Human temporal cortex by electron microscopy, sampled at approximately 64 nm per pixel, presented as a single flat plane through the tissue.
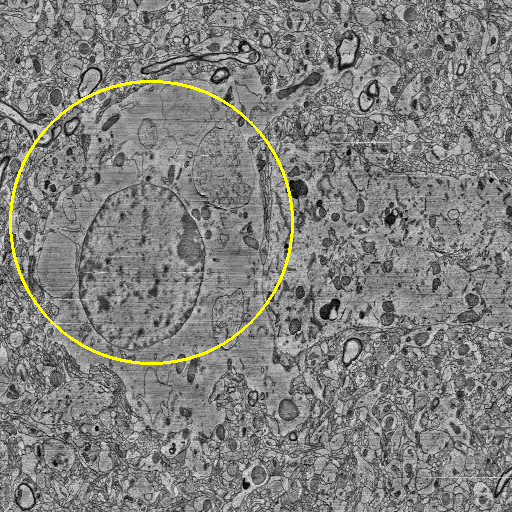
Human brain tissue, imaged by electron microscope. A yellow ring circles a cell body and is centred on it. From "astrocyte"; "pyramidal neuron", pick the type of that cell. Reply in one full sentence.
The cell body at the centre of the yellow ring belongs to an astrocyte.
